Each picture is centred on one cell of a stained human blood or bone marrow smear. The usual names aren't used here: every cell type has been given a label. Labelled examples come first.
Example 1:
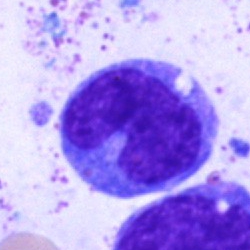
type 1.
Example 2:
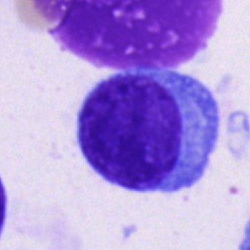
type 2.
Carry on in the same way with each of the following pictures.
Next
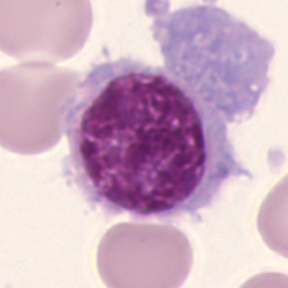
type 2.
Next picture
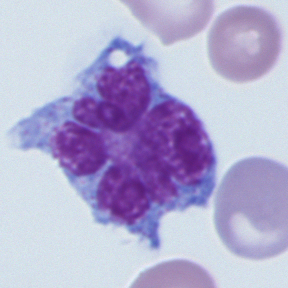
type 1.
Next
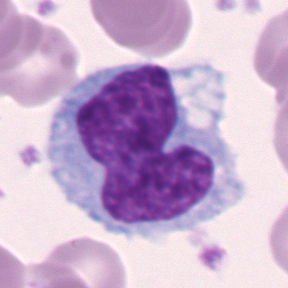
type 1.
